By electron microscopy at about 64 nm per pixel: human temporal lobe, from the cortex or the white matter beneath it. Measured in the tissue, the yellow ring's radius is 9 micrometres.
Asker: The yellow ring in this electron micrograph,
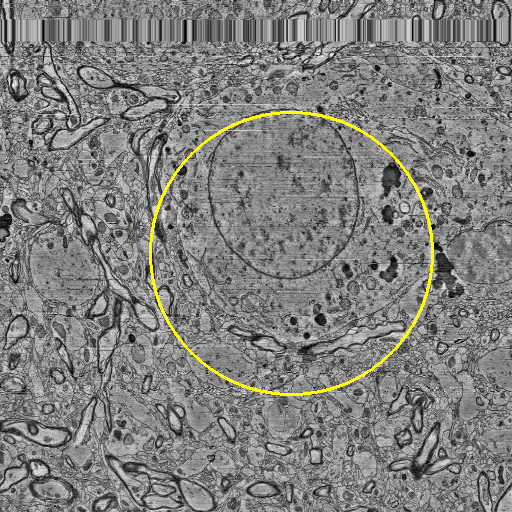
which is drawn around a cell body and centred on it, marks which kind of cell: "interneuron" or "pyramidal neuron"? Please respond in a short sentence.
The marked cell is a pyramidal neuron.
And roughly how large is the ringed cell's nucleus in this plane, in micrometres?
The nucleus of the ringed cell is approximately 11 by 10 micrometres in this plane.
